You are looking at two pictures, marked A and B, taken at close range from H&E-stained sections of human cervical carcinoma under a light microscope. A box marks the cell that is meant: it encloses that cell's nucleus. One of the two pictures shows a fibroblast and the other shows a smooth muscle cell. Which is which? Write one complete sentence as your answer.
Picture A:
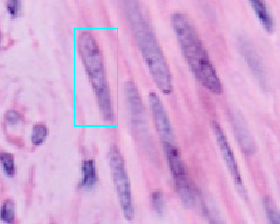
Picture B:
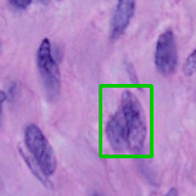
Picture A is of a smooth muscle cell, and picture B is of a fibroblast.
